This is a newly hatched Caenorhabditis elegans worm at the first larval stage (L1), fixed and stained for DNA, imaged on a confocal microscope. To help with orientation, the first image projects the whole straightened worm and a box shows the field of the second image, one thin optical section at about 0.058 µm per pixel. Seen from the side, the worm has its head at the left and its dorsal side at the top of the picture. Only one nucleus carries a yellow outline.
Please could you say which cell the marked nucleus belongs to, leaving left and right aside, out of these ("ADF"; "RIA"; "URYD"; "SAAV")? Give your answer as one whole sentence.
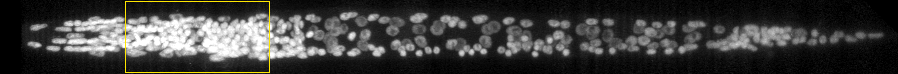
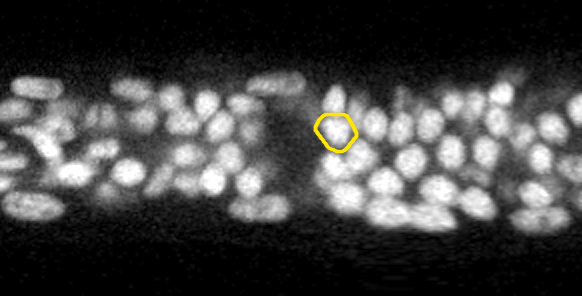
The marked nucleus belongs to SAAV, a neuron.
